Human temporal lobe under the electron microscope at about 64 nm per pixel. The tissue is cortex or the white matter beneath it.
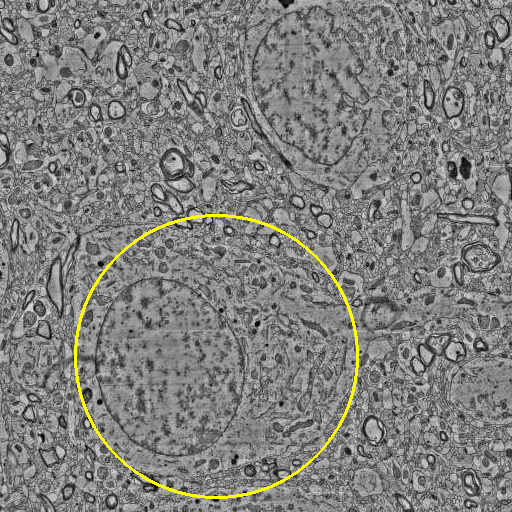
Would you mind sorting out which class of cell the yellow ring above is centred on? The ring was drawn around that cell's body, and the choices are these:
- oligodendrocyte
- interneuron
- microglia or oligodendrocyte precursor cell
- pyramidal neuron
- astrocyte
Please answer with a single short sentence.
This is the cell body of an interneuron.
